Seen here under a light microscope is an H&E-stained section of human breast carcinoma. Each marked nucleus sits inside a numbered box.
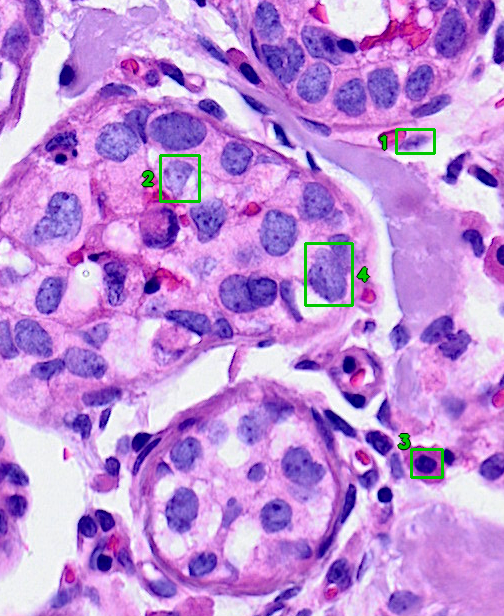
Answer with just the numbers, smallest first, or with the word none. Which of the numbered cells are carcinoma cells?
2, 4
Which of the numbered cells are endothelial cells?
1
